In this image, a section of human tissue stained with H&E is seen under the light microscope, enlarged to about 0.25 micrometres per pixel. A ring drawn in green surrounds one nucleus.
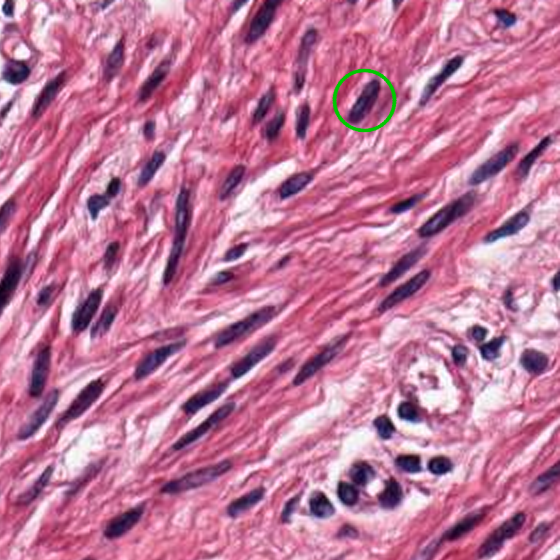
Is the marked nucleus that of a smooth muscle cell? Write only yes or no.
yes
